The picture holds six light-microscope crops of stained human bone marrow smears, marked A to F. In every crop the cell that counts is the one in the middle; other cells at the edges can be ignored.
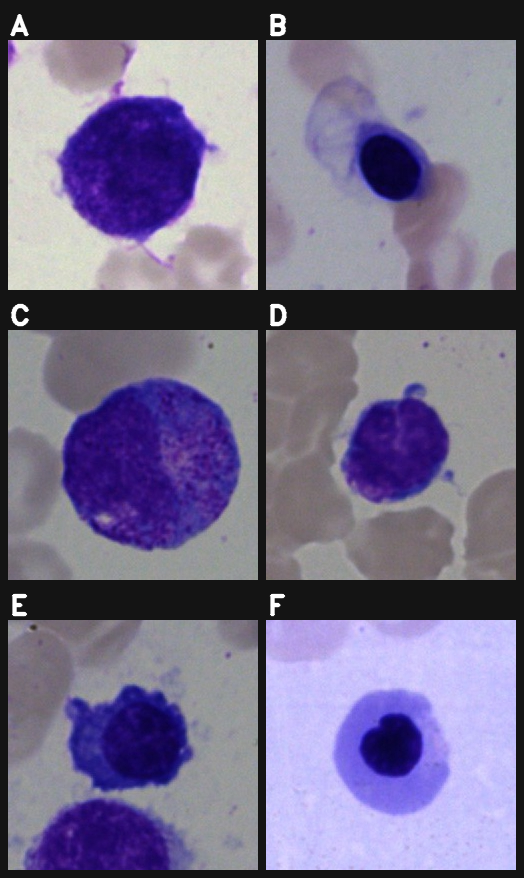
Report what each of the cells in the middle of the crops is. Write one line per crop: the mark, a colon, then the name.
A: blast
B: erythroblast
C: promyelocyte
D: lymphocyte
E: plasma cell
F: erythroblast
